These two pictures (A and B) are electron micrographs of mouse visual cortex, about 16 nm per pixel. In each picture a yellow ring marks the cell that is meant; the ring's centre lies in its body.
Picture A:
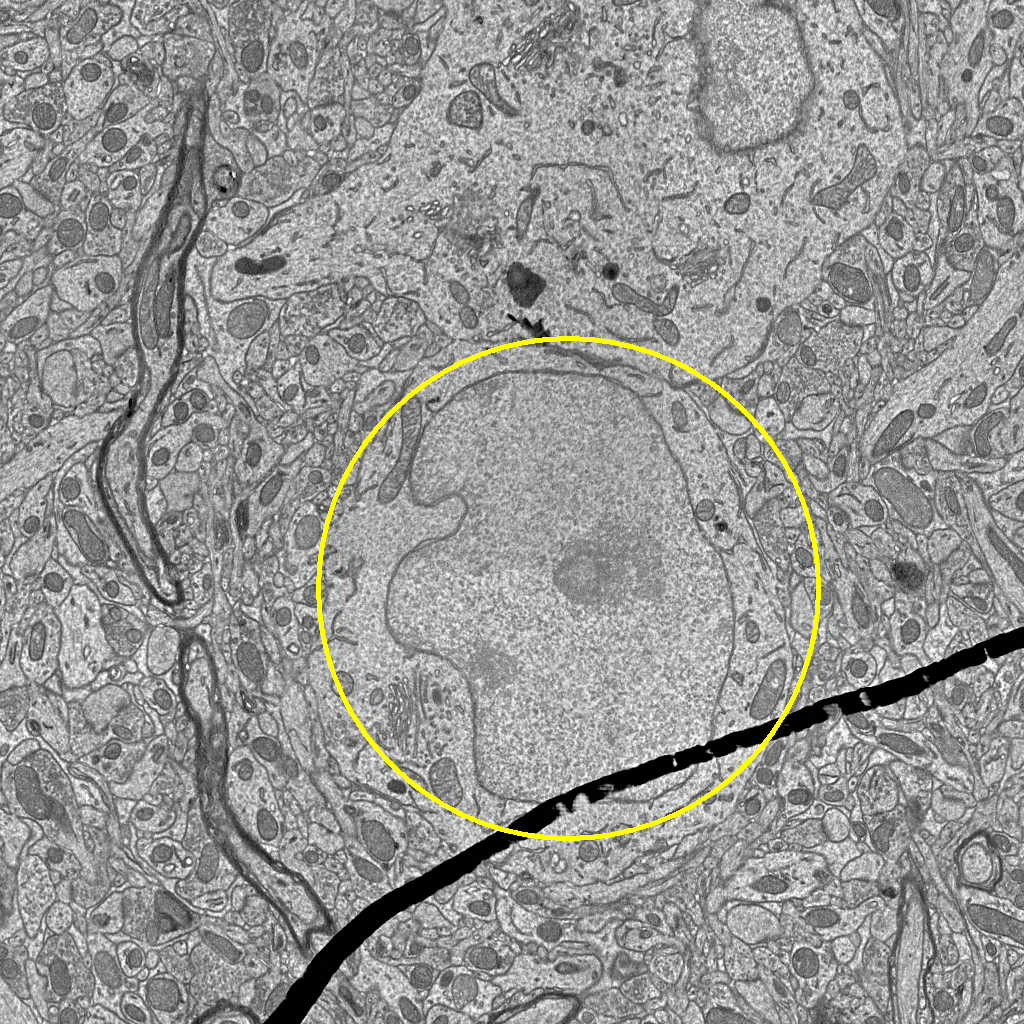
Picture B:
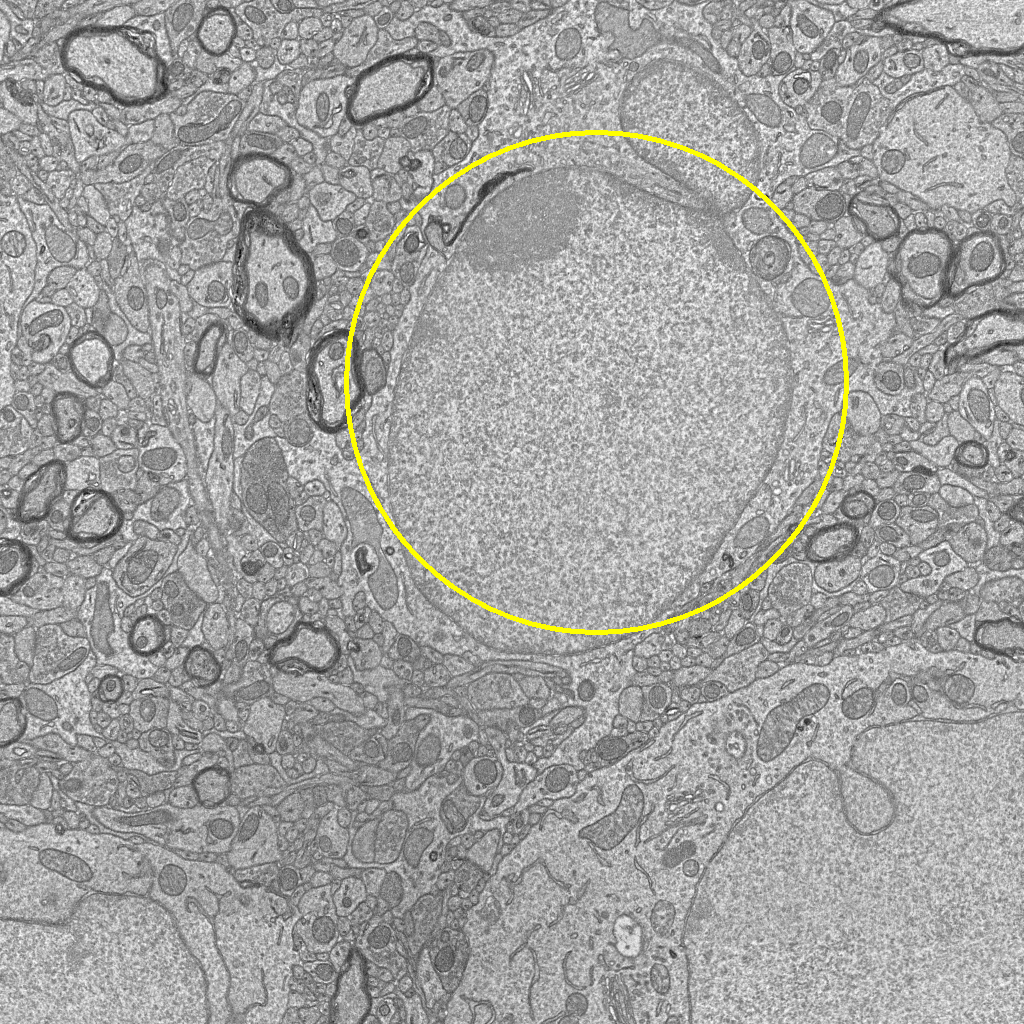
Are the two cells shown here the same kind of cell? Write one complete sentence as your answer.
No, they differ: the cell is an excitatory neuron in picture A and an astrocyte in picture B.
